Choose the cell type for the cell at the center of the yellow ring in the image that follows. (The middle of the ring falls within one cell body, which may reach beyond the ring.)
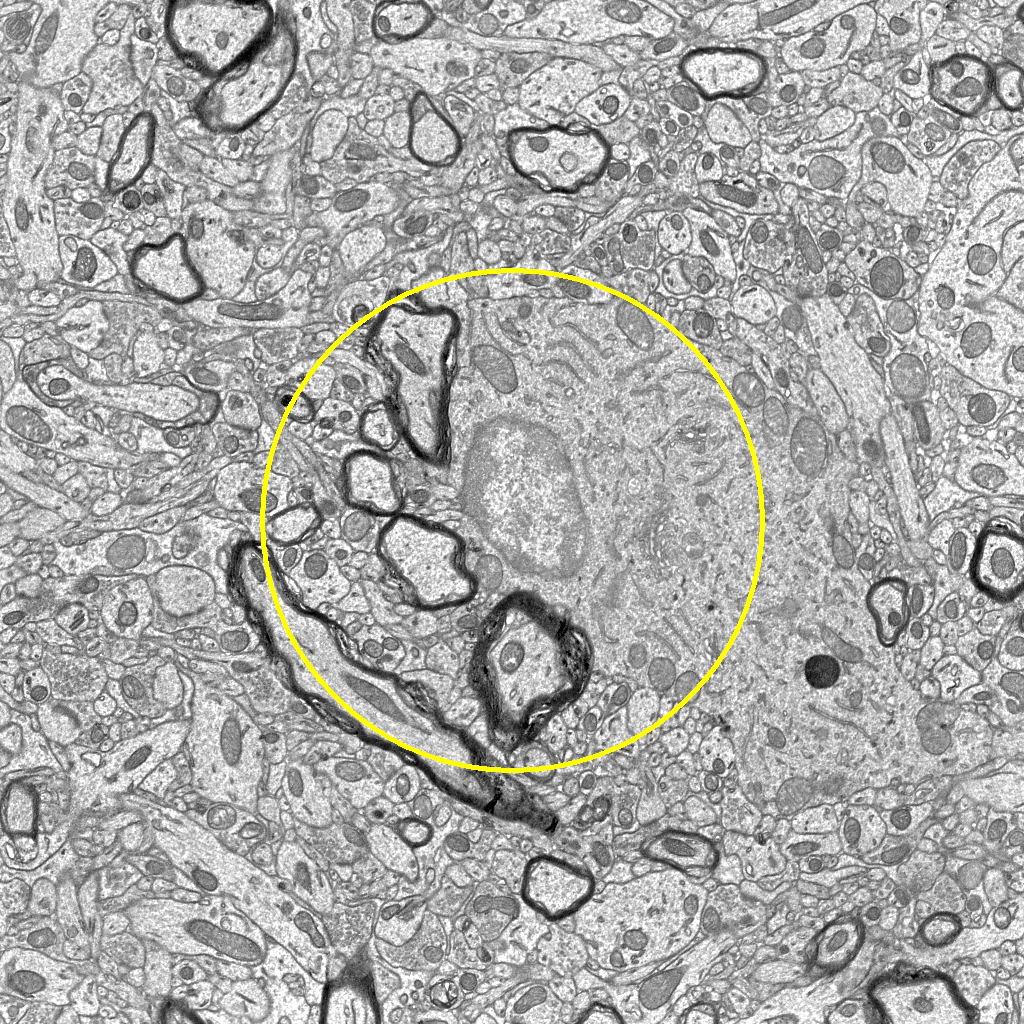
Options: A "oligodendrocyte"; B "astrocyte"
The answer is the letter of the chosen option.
A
